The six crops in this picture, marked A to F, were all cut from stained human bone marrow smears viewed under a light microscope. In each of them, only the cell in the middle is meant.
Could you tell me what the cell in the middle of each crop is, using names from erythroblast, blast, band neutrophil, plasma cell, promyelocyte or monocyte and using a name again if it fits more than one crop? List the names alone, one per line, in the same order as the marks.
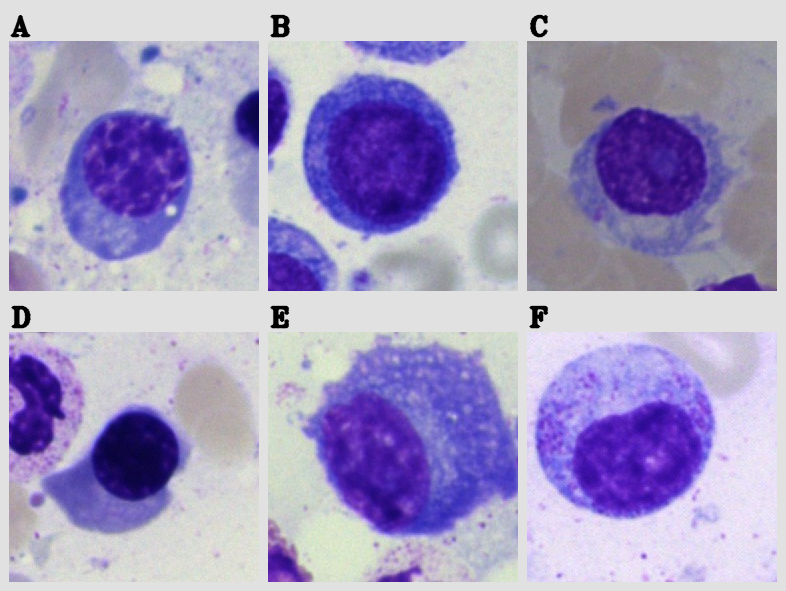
erythroblast
blast
plasma cell
erythroblast
plasma cell
promyelocyte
